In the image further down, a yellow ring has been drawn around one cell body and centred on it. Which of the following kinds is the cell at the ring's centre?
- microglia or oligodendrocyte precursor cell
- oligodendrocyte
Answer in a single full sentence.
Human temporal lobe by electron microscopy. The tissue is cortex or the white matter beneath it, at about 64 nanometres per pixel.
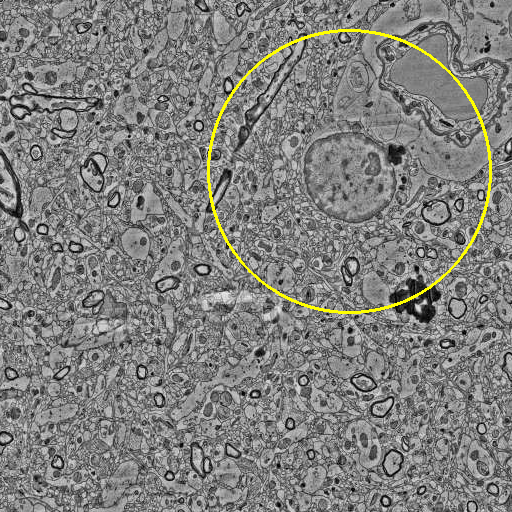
In the picture, the cell sitting at the centre of the yellow ring is an oligodendrocyte.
